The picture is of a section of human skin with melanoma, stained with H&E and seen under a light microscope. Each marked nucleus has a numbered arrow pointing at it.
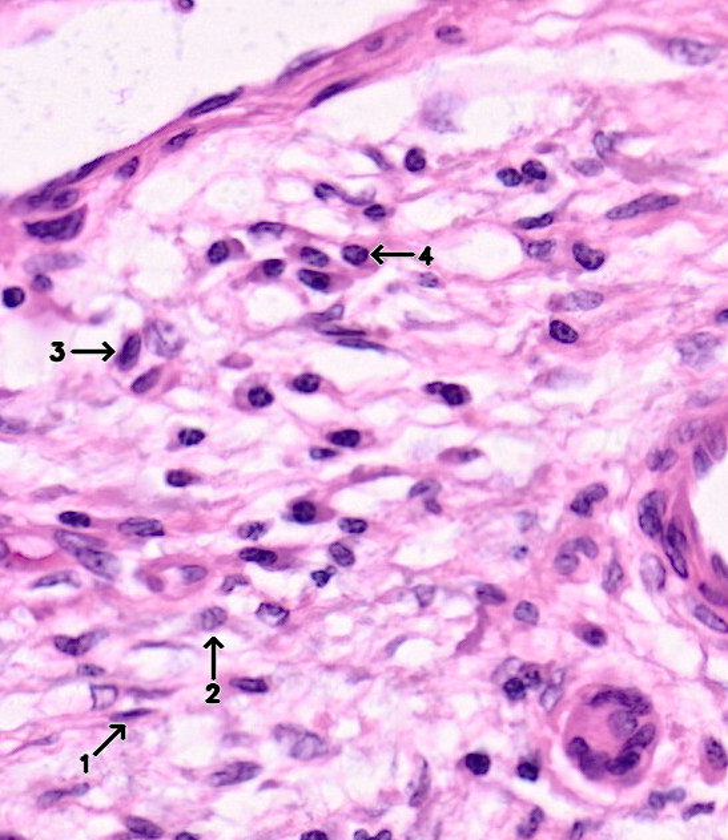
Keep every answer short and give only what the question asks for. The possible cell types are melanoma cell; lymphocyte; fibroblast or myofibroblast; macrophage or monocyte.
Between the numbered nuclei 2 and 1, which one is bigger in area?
2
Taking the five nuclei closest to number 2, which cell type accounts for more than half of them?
fibroblast or myofibroblast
